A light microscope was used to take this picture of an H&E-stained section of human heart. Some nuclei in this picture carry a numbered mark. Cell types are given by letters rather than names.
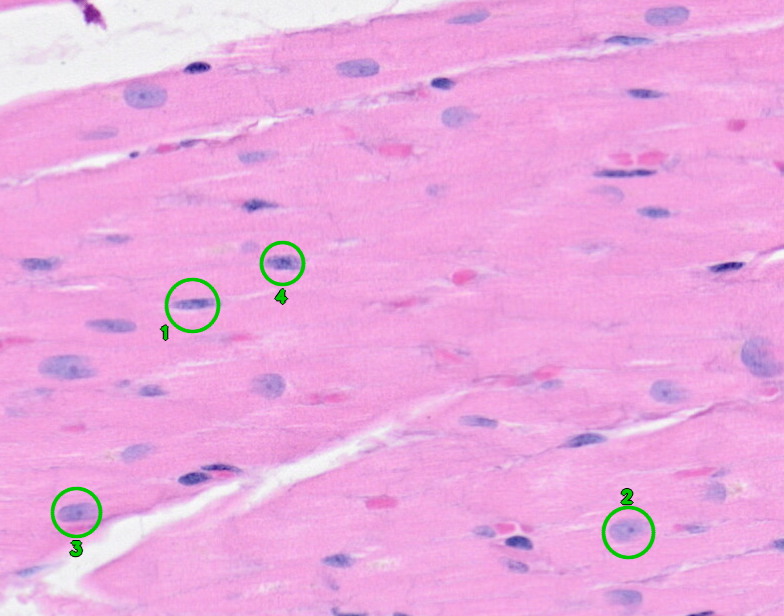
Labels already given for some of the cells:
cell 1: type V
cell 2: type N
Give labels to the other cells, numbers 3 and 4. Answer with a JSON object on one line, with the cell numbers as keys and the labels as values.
{"3": "type N", "4": "type V"}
